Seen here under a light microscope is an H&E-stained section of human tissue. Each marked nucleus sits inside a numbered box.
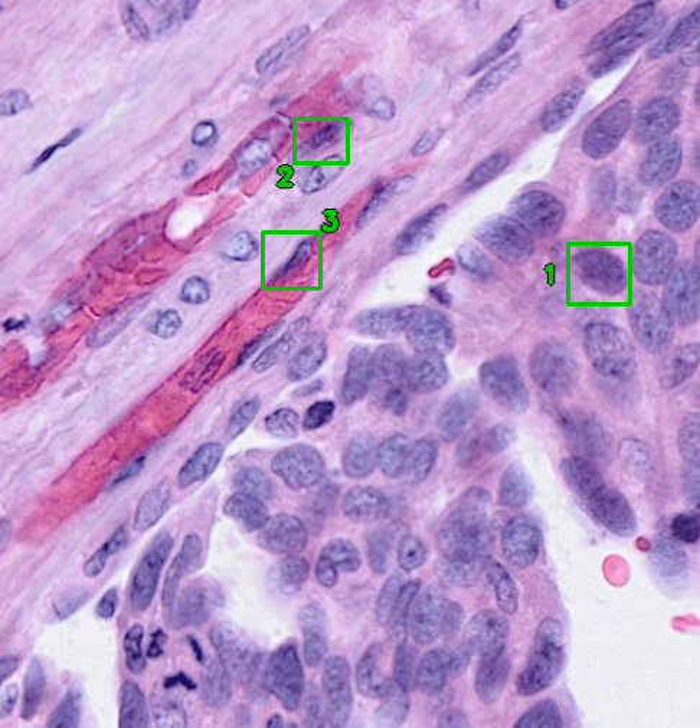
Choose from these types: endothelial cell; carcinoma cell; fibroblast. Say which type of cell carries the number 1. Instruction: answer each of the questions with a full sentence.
The mark numbered 1 indicates the nucleus of a carcinoma cell.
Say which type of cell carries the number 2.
The expected answer is that cell 2 is an endothelial cell.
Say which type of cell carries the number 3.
Within this field of view, the cell labelled 3 is an endothelial cell.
